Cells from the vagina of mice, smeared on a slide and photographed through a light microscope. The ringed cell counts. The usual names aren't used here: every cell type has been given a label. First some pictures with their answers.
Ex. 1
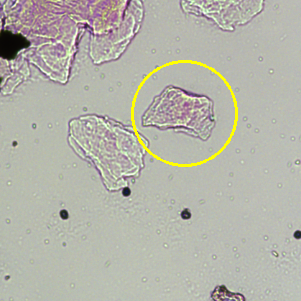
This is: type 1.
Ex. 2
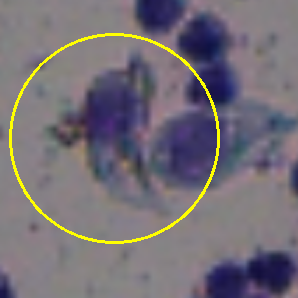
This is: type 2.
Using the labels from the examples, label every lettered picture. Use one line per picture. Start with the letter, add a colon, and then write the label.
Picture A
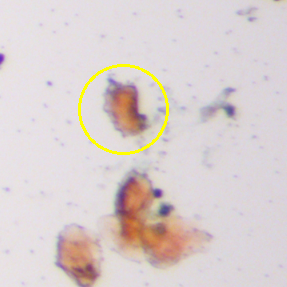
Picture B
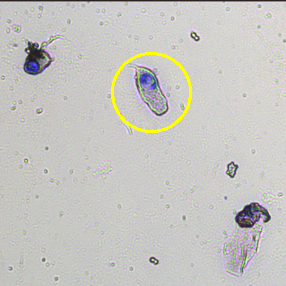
A: type 1.
B: type 2.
